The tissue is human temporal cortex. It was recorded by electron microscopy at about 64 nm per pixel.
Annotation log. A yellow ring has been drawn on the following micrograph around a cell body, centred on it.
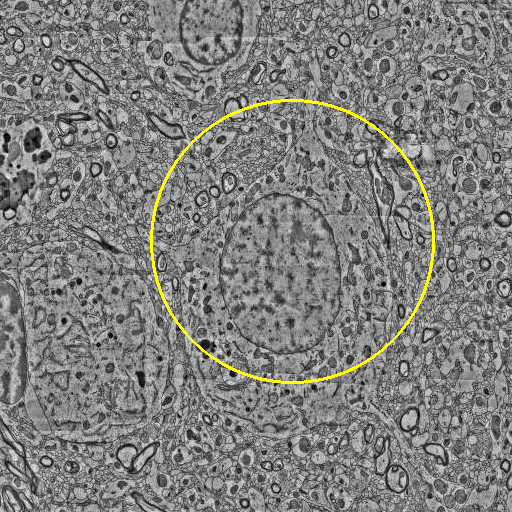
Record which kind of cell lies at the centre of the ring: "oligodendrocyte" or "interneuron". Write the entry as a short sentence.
The cell the ring is centred on is an interneuron.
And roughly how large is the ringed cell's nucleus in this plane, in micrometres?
About 10 by 8 micrometres in this plane.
